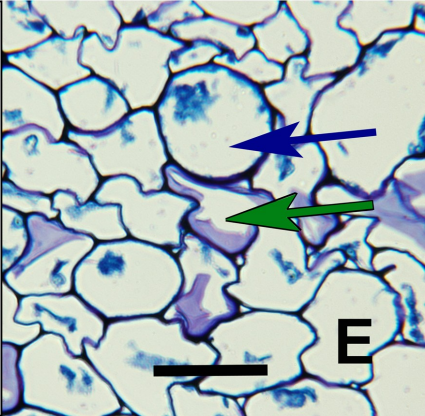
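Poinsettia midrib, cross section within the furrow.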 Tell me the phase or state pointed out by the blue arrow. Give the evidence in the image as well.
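The cell at the arrow has a smoothly rounded outline. Its walls bulge outward with no inward-pointing corner.
Hence: convex cell.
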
